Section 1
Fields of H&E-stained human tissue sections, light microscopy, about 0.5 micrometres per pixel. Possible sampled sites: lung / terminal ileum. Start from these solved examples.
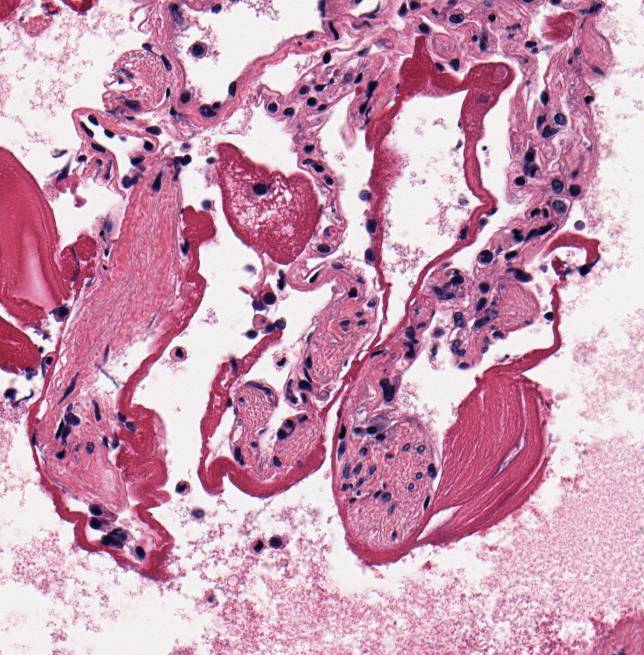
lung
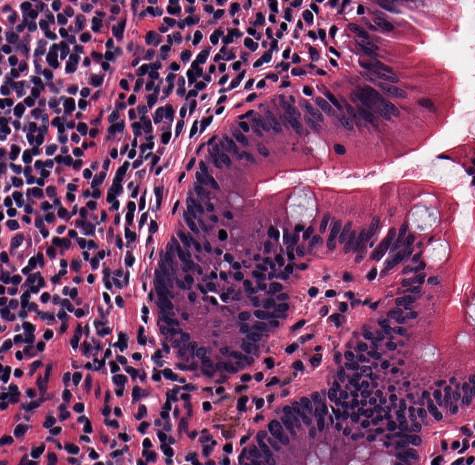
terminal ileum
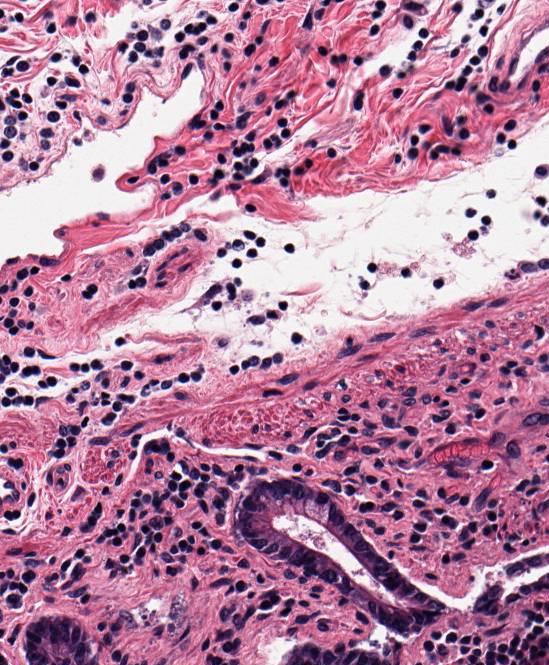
terminal ileum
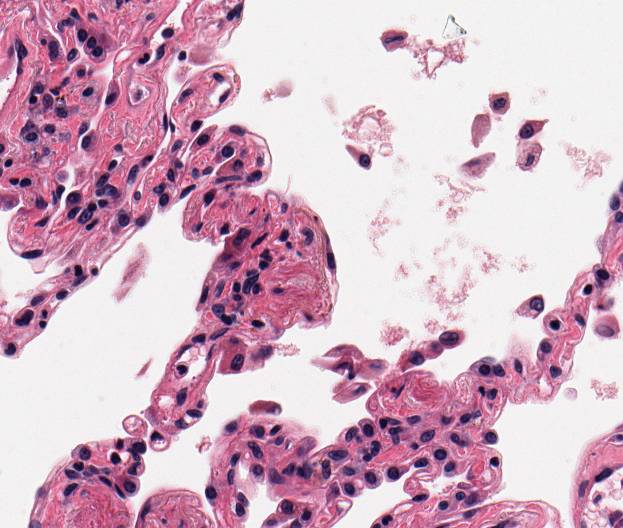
lung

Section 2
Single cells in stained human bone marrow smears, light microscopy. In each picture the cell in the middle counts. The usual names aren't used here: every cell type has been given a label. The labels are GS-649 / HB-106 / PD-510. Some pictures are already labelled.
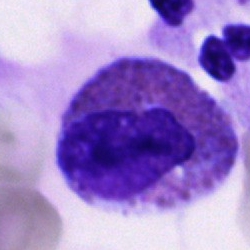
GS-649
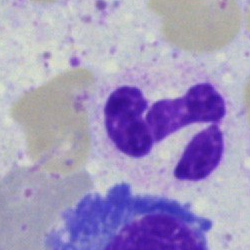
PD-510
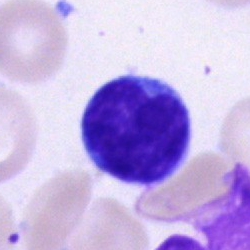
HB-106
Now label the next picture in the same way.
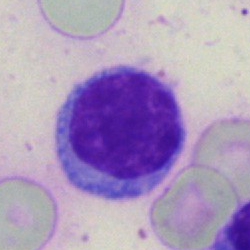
HB-106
